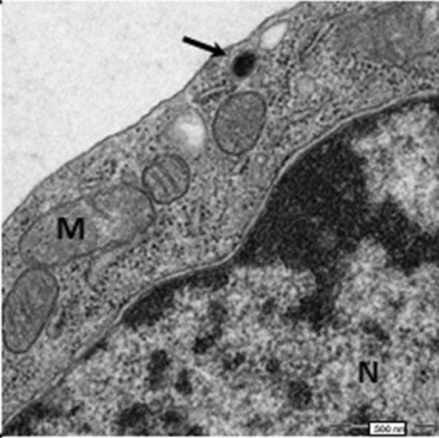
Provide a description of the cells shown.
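The nucleus fills the lower right, with dark clumps of heterochromatin lying along the nuclear envelope and scattered within. The cytoplasm forms a narrow band holding a few oval mitochondria with visible cristae and many fine dark granules like free ribosomes. Near the cell surface lies a small round body with a dark dense core. Other organelles are sparse.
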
